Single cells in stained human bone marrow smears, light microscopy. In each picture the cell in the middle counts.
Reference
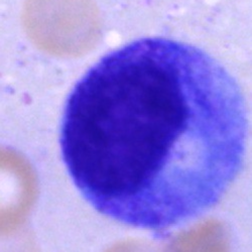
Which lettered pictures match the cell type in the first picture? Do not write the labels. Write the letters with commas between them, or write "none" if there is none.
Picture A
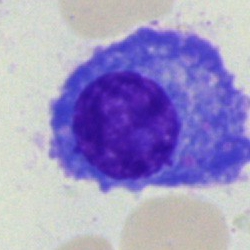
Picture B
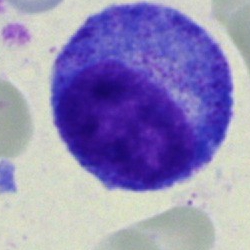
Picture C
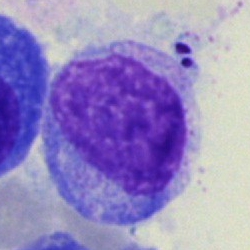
B, C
